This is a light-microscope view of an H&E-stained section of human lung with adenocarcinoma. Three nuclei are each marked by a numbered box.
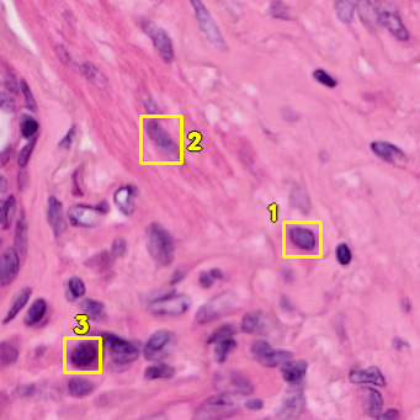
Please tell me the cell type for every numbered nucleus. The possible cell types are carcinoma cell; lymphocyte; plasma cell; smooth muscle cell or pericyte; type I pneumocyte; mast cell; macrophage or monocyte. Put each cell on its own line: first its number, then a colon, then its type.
1: mast cell
2: smooth muscle cell or pericyte
3: plasma cell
